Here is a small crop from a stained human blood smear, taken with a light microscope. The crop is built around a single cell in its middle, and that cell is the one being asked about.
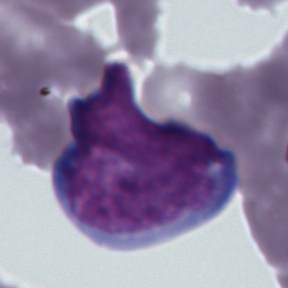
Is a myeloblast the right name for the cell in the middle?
yes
